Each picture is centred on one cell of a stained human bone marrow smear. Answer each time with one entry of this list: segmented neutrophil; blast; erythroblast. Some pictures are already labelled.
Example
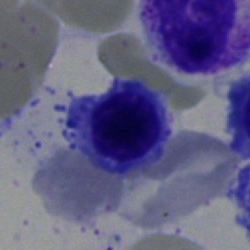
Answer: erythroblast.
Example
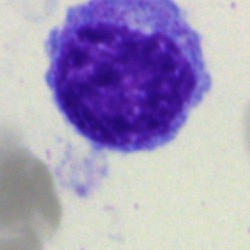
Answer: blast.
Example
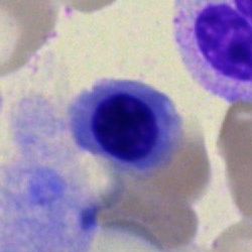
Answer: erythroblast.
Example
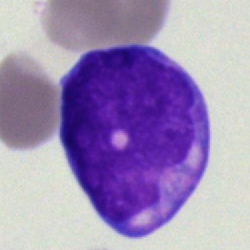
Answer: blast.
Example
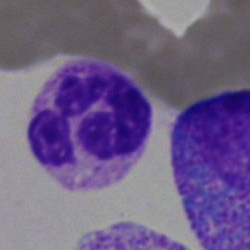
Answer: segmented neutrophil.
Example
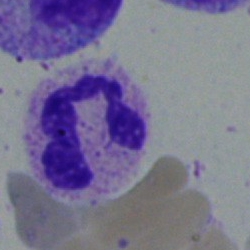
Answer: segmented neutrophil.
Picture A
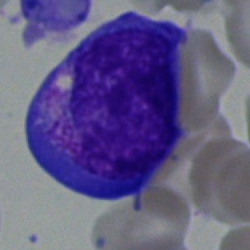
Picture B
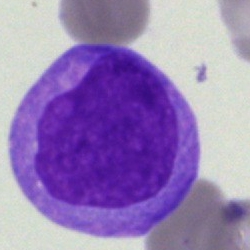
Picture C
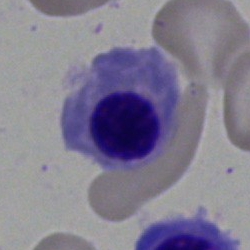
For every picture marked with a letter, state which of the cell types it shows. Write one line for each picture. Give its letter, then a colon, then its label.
A: blast.
B: blast.
C: erythroblast.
